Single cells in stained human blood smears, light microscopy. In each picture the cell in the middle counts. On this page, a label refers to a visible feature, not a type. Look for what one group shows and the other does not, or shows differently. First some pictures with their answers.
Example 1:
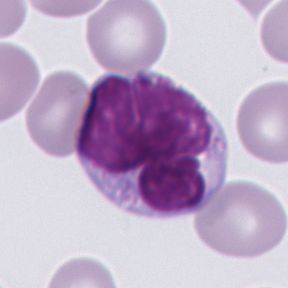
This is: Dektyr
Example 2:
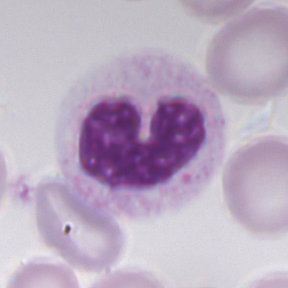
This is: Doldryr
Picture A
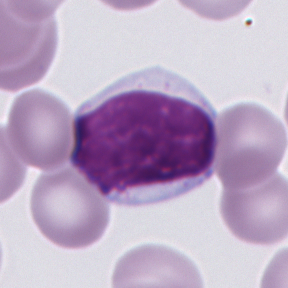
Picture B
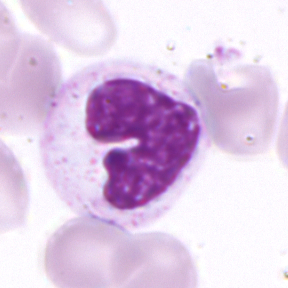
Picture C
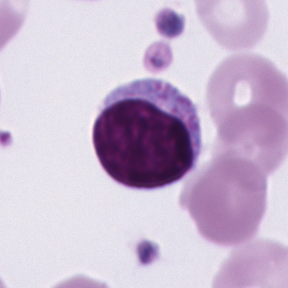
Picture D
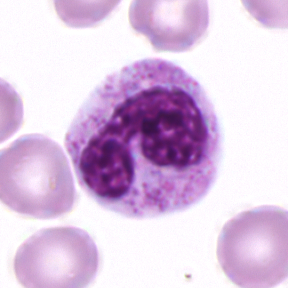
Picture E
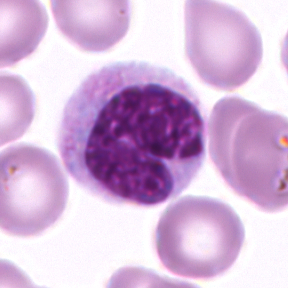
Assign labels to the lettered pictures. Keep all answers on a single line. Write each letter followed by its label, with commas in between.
A Doldryr, B Doldryr, C Doldryr, D Dektyr, E Doldryr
